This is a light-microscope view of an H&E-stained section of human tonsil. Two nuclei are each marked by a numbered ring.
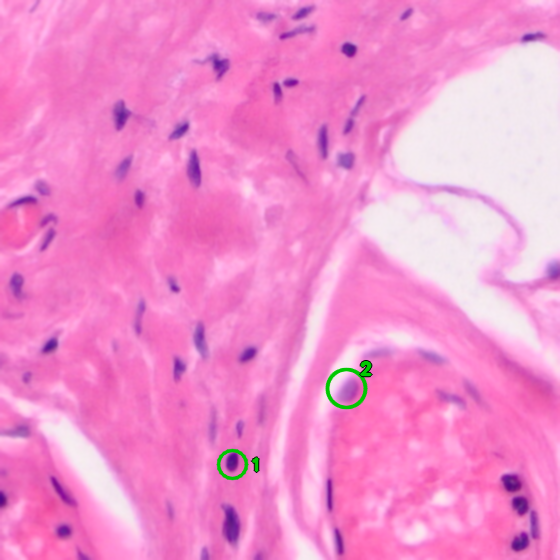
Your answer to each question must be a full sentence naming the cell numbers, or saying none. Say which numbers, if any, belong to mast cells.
None but cell 1 among the numbered cells is a mast cell.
